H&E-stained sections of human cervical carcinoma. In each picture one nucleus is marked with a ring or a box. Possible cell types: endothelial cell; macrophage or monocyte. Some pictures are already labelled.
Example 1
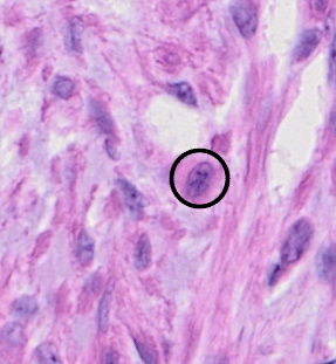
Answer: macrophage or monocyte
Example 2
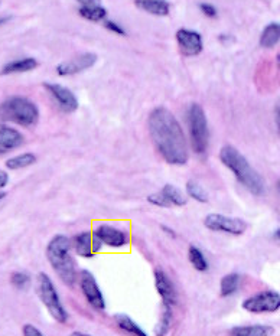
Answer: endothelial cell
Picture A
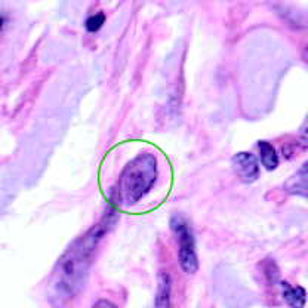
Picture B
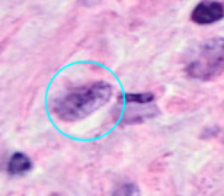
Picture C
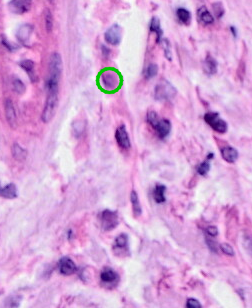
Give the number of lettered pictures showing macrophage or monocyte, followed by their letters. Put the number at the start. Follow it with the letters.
3: A, B, C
